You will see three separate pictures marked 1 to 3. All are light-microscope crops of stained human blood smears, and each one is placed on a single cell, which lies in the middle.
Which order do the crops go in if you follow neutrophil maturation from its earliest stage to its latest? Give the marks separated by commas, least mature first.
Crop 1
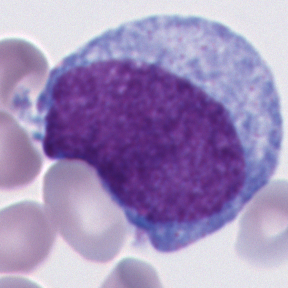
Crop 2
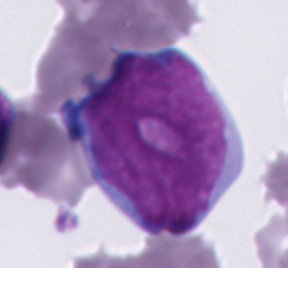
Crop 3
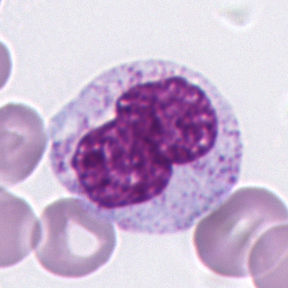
2, 1, 3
